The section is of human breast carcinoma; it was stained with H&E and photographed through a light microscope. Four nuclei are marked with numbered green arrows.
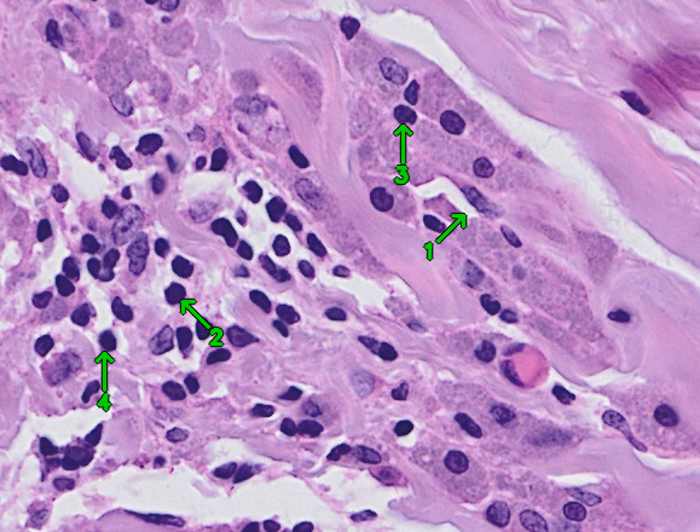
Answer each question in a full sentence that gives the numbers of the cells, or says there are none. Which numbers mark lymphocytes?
The cells referred to by numbers 2, 3 and 4 are lymphocytes.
